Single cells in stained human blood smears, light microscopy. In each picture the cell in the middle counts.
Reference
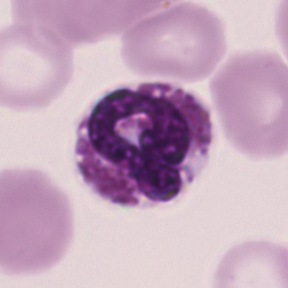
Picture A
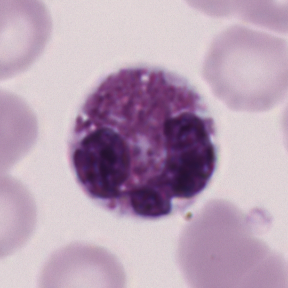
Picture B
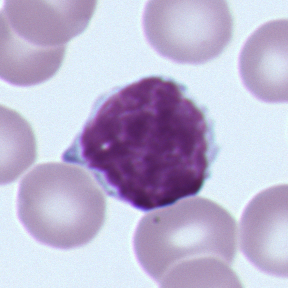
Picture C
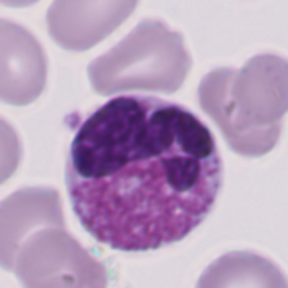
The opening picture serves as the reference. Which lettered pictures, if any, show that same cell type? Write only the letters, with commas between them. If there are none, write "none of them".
A, C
